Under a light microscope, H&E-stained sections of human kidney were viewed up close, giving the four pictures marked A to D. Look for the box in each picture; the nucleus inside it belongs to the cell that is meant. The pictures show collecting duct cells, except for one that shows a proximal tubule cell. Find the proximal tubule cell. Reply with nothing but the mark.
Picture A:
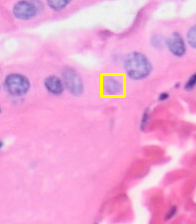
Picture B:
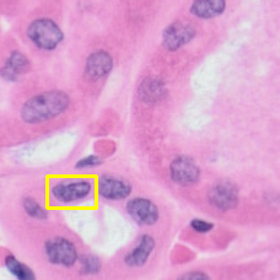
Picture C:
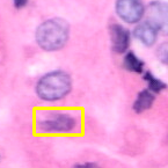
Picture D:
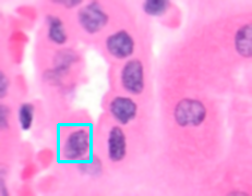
C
